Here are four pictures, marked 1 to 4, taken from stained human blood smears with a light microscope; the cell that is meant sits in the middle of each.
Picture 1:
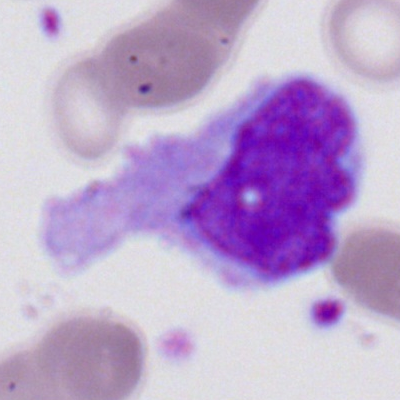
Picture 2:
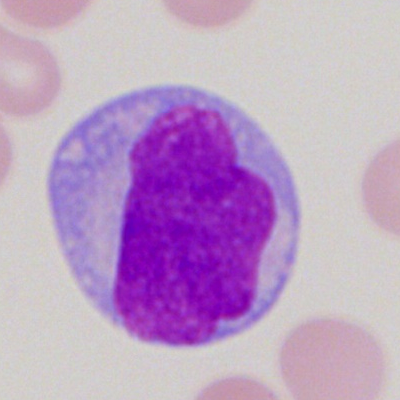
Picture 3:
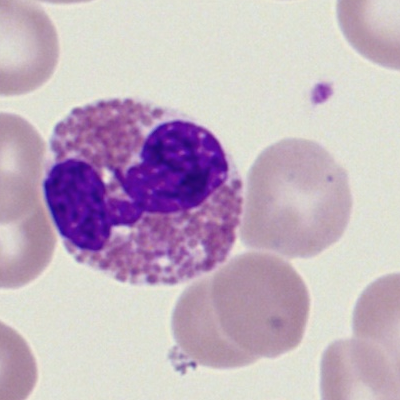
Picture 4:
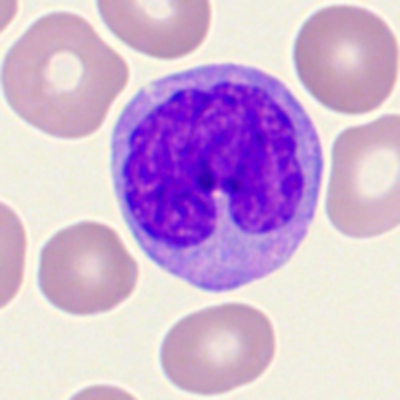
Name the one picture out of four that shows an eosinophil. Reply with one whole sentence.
Picture 3 shows the eosinophil.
